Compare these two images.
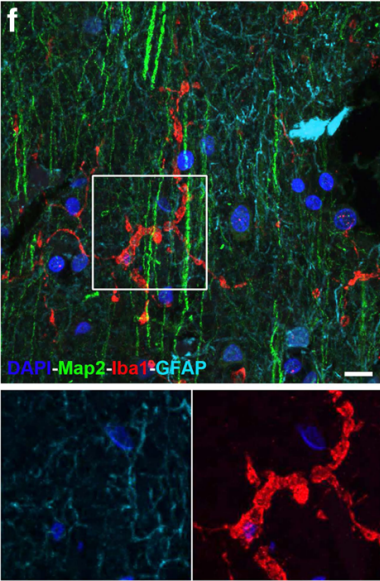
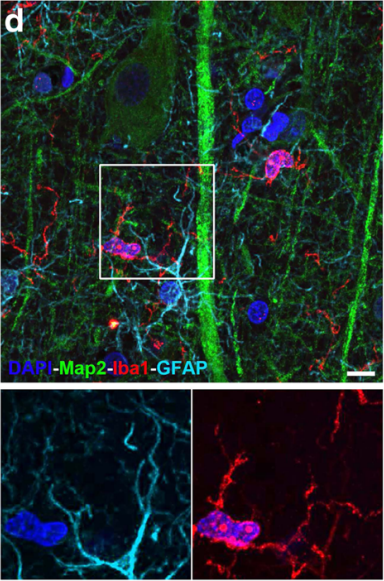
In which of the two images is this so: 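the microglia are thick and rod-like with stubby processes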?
The first image.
